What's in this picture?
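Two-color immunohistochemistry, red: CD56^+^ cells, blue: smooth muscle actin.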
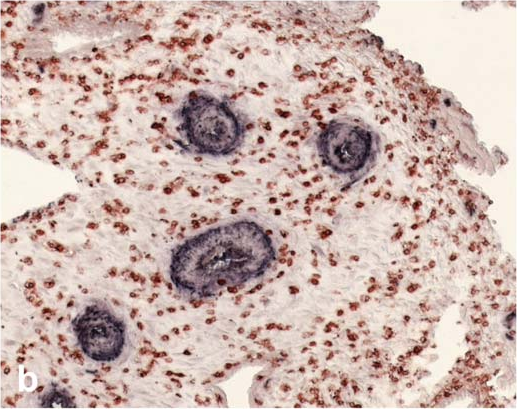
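This is decidual tissue containing several cross-sectioned spiral arteries amid stroma scattered with small red-stained cells. The arteries appear as round to oval structures with a thick blue-violet muscular wall, the tunica media, surrounding a narrow central lumen. The surrounding stroma is pale with loosely arranged cells whose outlines are faint. Clefts and empty spaces are seen at the tissue edges.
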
